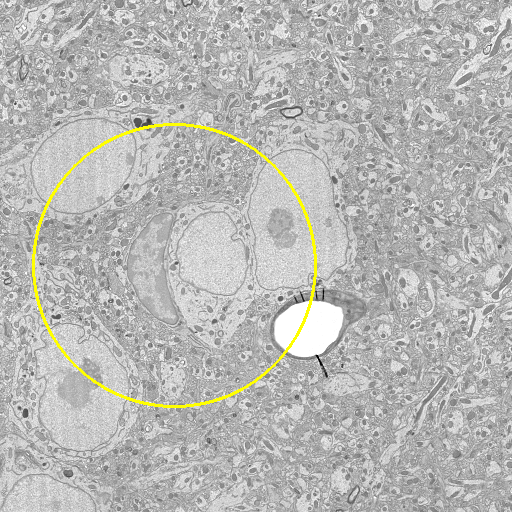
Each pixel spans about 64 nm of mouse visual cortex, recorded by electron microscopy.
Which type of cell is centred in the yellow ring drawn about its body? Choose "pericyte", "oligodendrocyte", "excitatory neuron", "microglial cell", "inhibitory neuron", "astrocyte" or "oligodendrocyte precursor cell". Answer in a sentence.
The yellow ring surrounds the cell body of a microglial cell.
